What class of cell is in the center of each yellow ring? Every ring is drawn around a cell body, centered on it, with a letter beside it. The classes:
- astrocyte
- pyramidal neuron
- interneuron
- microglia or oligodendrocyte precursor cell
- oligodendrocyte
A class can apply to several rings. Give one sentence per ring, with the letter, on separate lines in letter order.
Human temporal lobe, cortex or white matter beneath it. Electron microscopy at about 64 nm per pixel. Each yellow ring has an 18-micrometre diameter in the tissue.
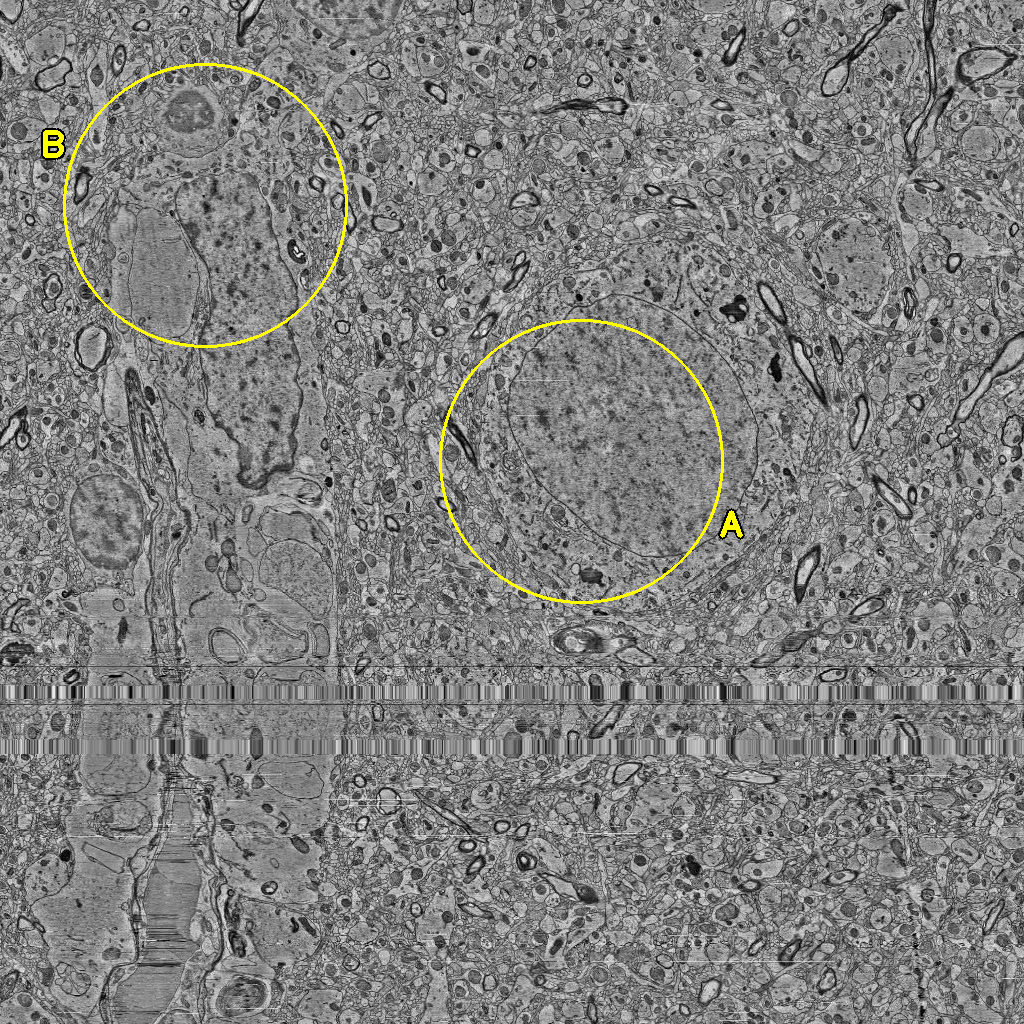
Ring A holds a pyramidal neuron at its center.
Ring B holds a microglial cell or oligodendrocyte precursor cell at its center.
